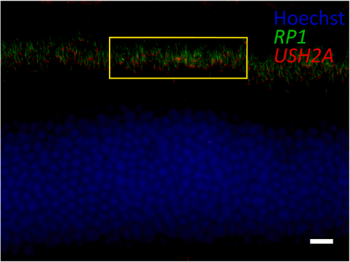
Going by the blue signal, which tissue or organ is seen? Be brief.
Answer: Outer nuclear layer.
